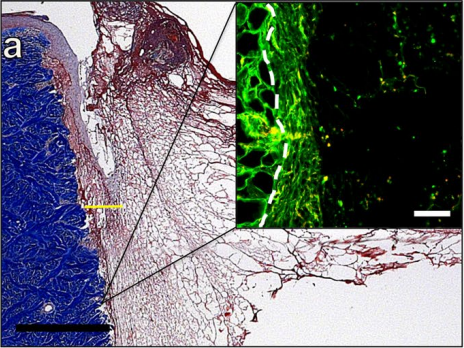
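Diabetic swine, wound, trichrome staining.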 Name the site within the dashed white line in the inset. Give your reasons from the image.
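In the inset, a dense green network lies on the left of the dashed line. So: the lateral border between injured and non-injured tissue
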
